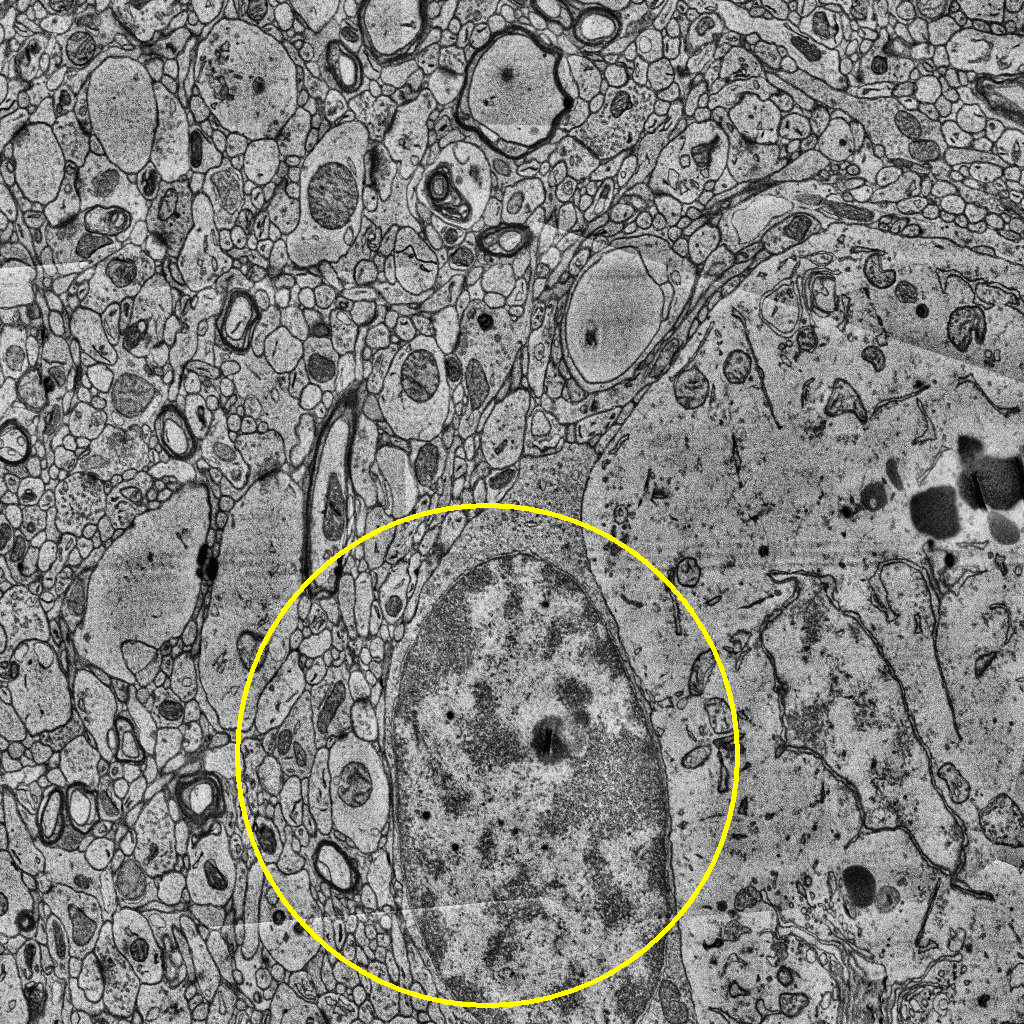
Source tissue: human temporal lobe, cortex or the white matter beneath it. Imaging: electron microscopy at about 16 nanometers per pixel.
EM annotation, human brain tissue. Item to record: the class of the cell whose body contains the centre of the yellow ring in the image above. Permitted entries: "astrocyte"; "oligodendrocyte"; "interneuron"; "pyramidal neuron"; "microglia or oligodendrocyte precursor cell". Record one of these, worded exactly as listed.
oligodendrocyte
